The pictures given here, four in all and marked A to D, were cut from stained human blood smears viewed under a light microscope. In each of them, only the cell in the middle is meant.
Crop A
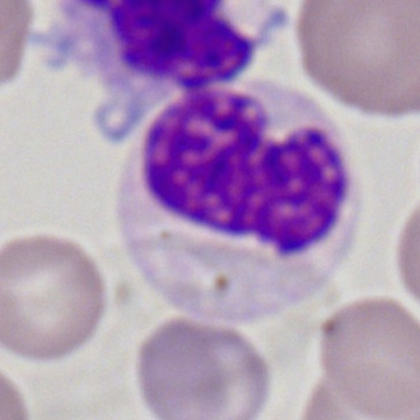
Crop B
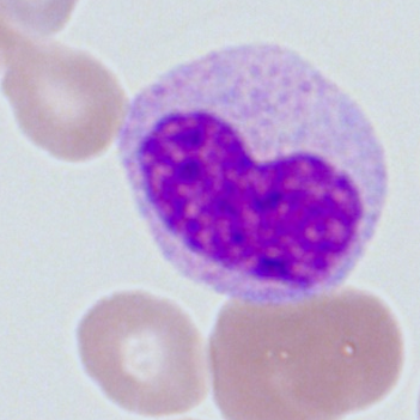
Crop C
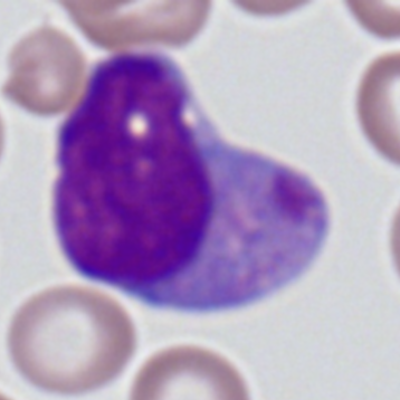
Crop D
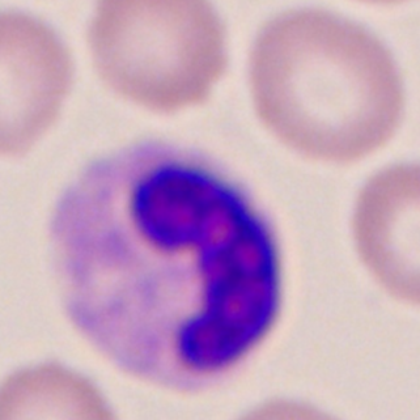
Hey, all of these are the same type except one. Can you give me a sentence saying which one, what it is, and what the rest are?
Unlike the other crops, all showing band neutrophils, crop C is a monocyte.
